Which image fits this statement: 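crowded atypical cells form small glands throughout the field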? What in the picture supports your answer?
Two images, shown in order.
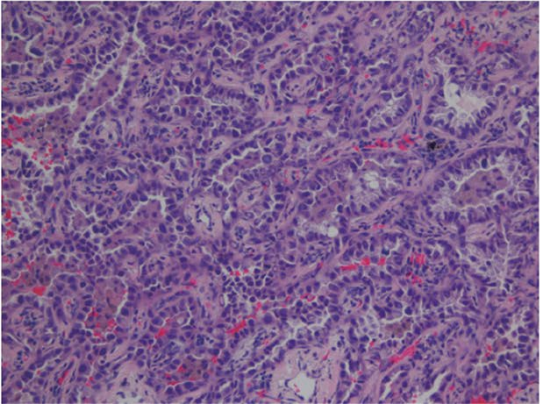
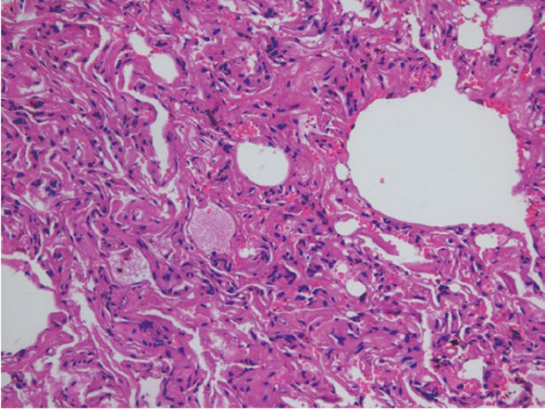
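First image: sheets of crowded cells with dark nuclei line many small glandular spaces.
Answer: the first image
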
